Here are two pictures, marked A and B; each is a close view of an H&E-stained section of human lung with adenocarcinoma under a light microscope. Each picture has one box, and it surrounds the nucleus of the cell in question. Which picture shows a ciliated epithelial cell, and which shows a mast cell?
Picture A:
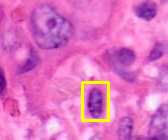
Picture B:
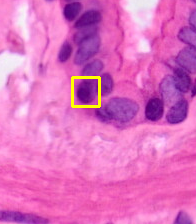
A: mast cell
B: ciliated epithelial cell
